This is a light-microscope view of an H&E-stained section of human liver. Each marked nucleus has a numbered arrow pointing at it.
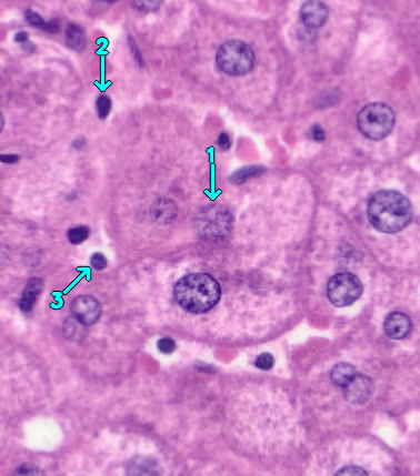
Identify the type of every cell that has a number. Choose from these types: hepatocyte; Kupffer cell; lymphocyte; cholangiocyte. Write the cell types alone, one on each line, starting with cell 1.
hepatocyte
lymphocyte
lymphocyte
